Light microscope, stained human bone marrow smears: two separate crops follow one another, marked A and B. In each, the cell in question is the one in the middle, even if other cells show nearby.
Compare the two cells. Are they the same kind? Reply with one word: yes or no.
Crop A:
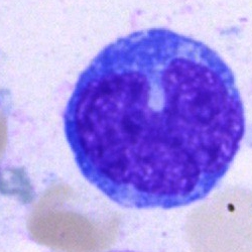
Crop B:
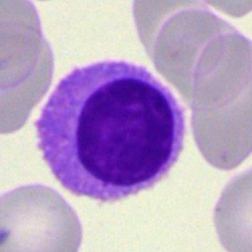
yes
